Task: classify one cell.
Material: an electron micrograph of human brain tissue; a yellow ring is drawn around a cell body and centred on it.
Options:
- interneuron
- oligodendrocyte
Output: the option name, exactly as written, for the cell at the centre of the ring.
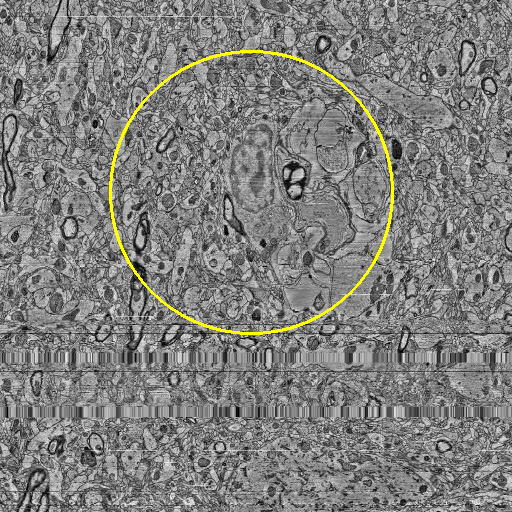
oligodendrocyte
